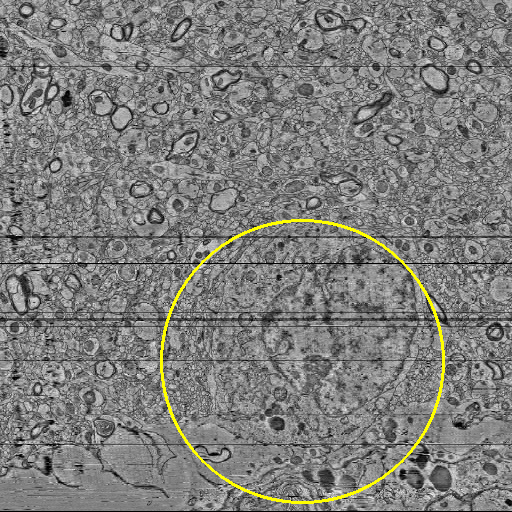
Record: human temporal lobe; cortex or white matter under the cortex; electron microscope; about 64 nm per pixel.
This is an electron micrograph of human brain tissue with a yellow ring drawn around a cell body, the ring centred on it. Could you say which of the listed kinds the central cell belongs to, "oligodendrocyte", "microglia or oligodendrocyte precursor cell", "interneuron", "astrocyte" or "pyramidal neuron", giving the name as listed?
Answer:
interneuron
